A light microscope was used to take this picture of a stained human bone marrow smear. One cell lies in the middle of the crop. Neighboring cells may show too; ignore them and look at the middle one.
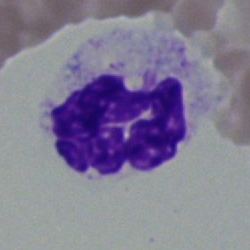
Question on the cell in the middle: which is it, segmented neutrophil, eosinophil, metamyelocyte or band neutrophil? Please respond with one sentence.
In this smear crop, the middle cell is a segmented neutrophil.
